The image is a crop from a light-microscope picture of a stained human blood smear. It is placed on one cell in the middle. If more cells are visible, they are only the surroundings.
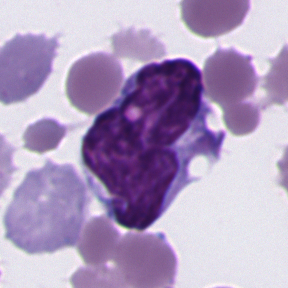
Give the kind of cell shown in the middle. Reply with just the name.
monocyte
